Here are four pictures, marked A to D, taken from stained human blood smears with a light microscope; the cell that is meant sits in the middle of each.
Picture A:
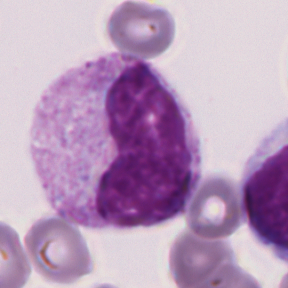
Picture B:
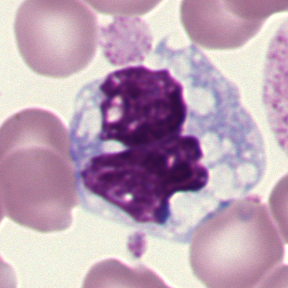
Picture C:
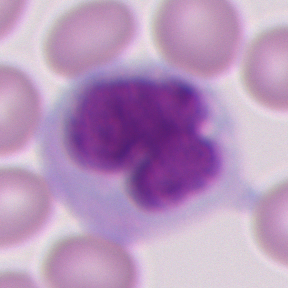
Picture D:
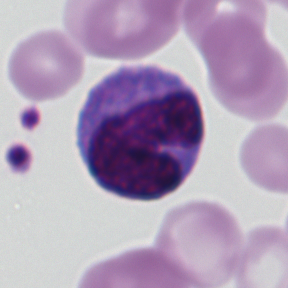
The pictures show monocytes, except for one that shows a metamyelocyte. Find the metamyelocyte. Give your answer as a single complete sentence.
It is picture A that shows the metamyelocyte.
